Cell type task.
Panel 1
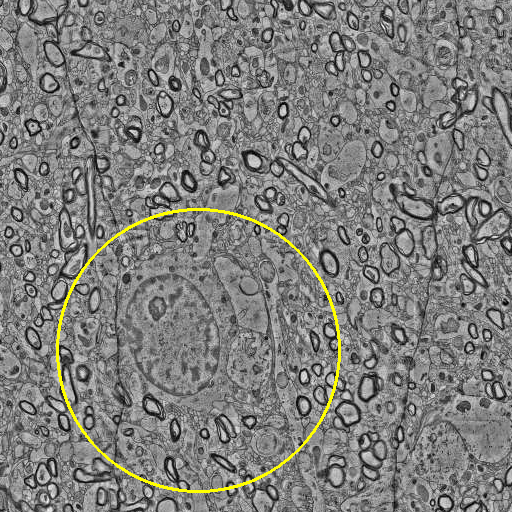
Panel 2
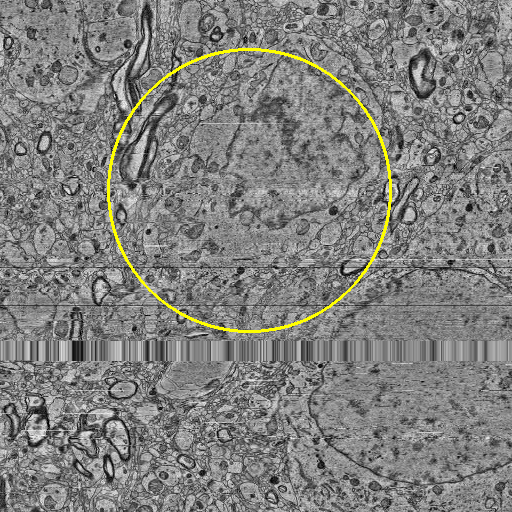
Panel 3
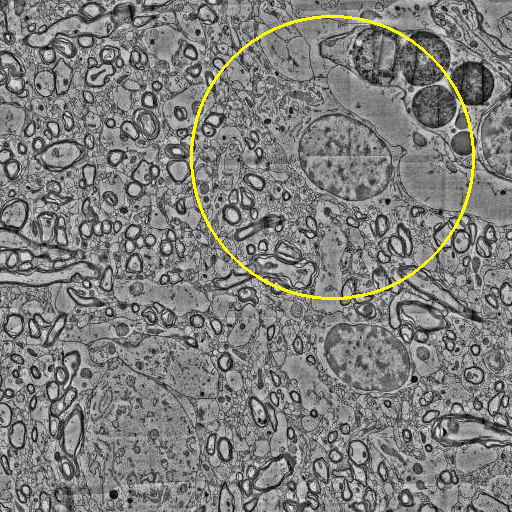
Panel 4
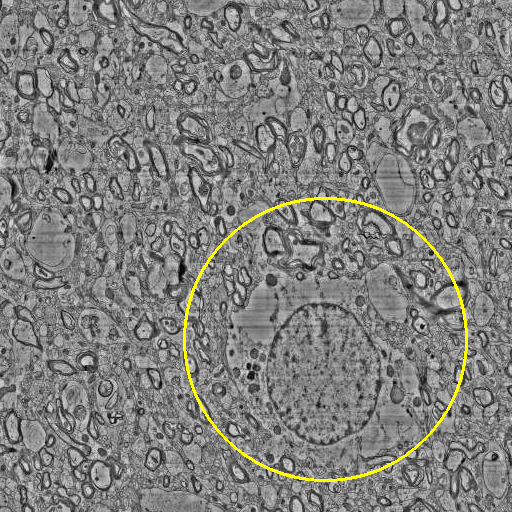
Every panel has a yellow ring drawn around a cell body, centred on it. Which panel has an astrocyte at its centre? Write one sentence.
It sits at the centre of the ring in Panel 4.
